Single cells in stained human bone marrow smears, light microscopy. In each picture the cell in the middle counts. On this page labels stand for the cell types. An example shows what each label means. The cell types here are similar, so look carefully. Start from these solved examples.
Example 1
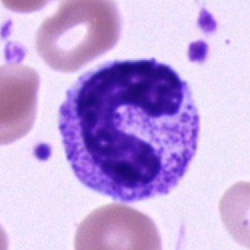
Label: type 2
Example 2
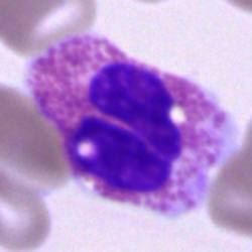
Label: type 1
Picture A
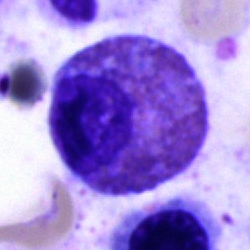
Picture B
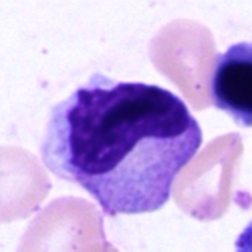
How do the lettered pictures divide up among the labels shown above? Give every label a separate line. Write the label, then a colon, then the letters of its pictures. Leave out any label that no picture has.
type 2: B
type 1: A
